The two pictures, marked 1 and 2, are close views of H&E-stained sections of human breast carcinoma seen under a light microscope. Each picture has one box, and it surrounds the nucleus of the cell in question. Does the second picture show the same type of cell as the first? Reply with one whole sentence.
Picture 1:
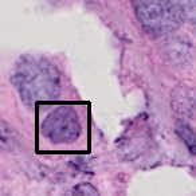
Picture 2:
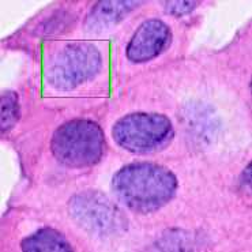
Yes, both are carcinoma cells.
